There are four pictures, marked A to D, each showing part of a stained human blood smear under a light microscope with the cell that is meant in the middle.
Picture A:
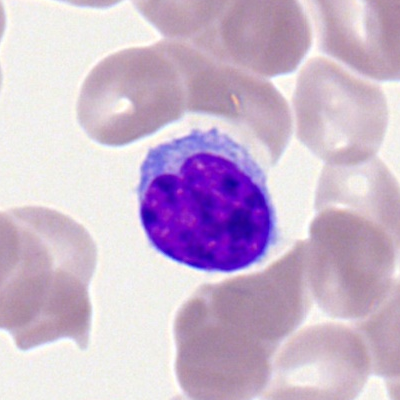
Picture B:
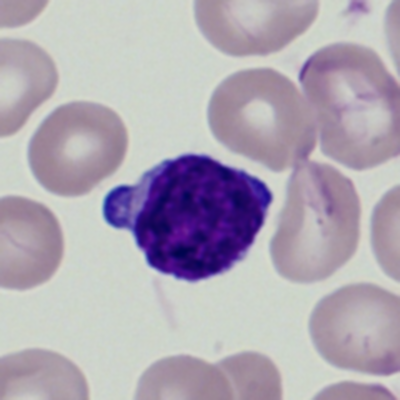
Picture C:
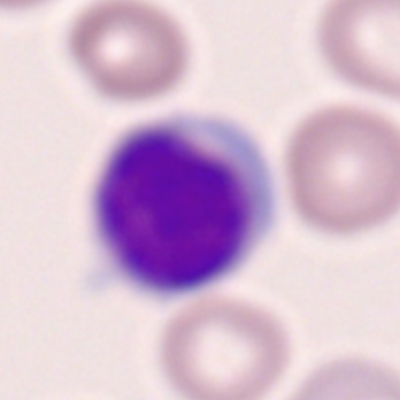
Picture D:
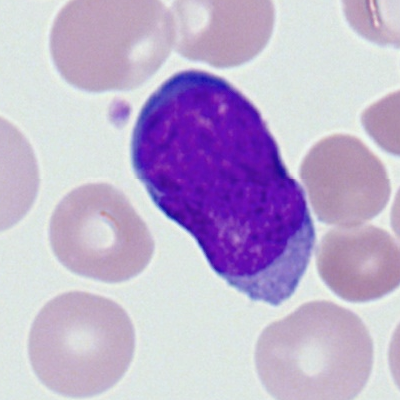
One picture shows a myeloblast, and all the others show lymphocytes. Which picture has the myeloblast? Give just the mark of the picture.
D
